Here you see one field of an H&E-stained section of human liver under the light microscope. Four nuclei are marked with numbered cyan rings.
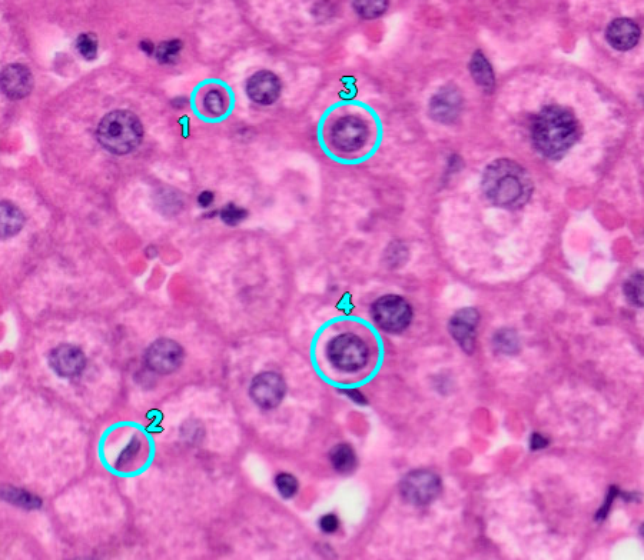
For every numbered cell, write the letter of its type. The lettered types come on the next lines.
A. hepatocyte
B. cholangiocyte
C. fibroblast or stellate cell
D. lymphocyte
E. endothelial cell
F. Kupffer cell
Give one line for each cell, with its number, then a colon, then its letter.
1: F
2: E
3: A
4: A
